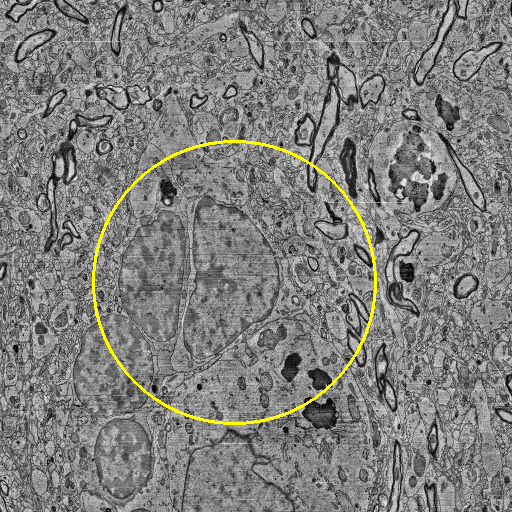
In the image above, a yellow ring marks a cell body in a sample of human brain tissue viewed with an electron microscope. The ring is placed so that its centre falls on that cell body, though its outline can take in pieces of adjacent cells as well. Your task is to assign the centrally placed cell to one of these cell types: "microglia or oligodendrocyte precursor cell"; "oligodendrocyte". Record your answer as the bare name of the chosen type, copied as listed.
microglia or oligodendrocyte precursor cell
